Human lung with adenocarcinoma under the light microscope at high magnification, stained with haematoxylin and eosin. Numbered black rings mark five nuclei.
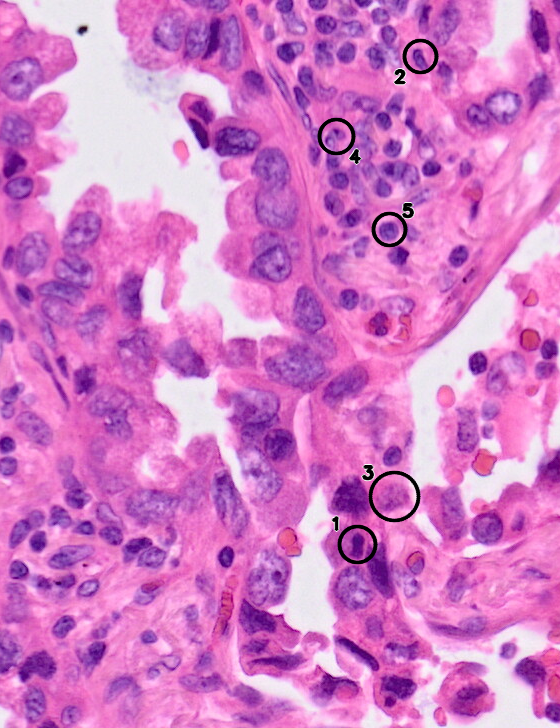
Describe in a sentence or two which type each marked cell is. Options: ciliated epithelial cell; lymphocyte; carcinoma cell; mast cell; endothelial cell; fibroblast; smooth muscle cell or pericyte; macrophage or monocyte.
Cell 1 is a carcinoma cell, cell 2 is a lymphocyte, cell 3 is a carcinoma cell, cell 4 is a lymphocyte and cell 5 is a lymphocyte.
